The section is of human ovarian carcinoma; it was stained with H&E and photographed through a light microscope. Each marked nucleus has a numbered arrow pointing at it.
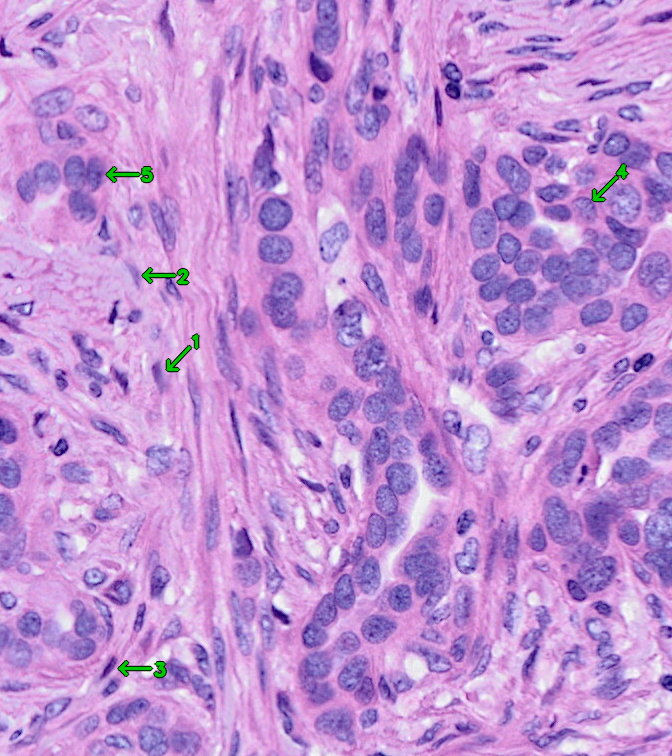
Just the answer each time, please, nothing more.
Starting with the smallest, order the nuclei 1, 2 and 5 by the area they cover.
2, 1, 5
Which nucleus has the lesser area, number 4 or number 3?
3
